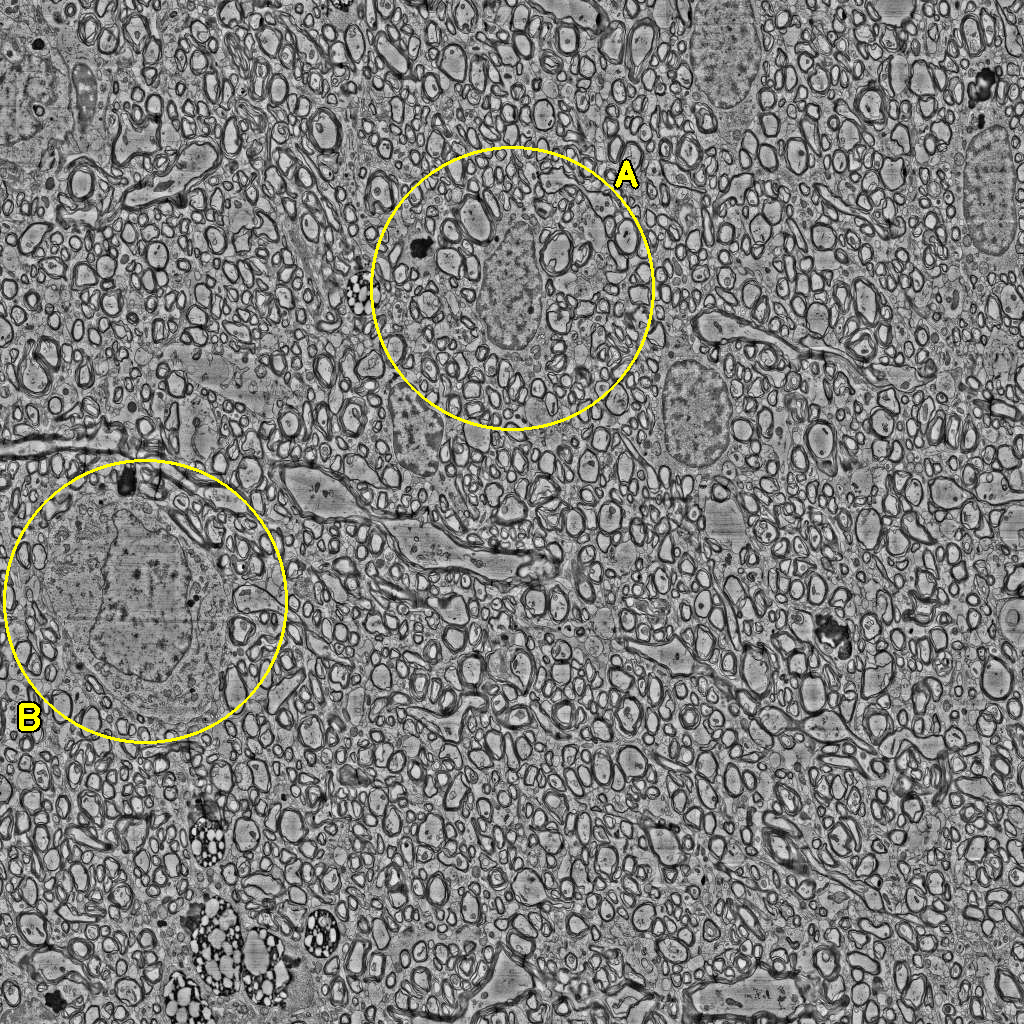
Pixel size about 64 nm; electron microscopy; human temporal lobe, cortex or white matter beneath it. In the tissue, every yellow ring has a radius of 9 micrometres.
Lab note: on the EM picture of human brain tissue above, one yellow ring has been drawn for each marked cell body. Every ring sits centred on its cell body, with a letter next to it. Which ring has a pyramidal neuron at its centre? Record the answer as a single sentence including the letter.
Noted: the cell in question is at the centre of ring B.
